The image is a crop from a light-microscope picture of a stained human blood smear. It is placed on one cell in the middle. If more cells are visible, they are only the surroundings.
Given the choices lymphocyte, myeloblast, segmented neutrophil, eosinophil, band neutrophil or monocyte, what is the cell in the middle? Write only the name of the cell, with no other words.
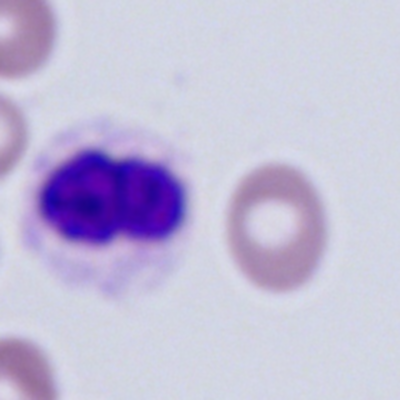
segmented neutrophil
